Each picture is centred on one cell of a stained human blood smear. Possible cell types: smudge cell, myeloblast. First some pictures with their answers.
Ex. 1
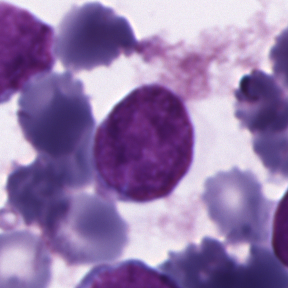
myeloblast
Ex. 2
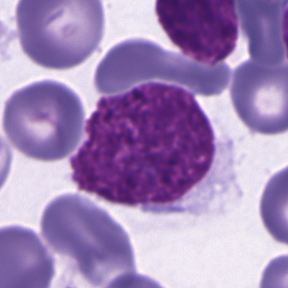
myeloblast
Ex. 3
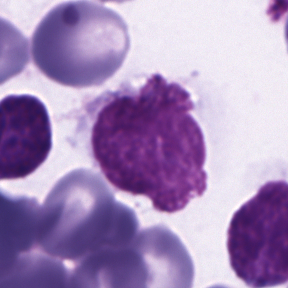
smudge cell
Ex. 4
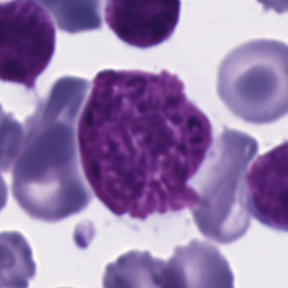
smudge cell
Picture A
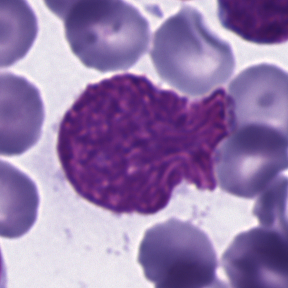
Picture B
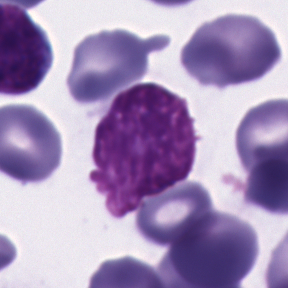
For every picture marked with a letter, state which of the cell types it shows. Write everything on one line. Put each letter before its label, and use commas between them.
A smudge cell, B smudge cell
